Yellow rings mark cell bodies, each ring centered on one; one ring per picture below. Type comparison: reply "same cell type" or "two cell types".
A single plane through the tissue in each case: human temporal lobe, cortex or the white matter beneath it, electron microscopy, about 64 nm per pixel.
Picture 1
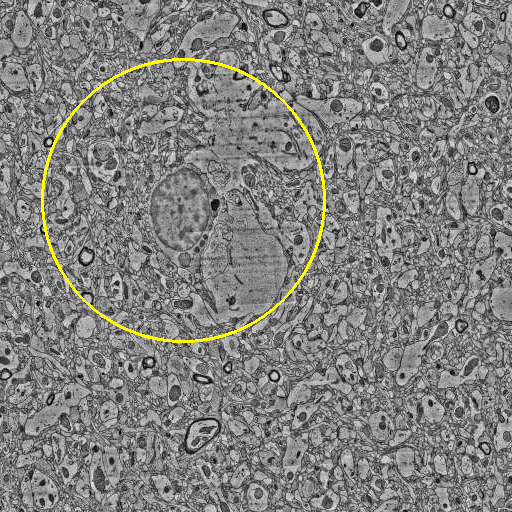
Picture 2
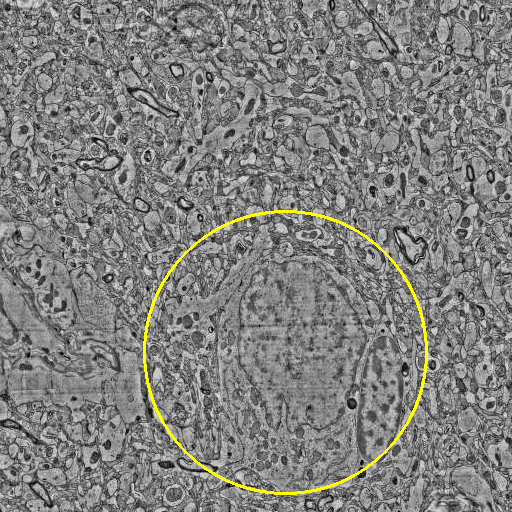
two cell types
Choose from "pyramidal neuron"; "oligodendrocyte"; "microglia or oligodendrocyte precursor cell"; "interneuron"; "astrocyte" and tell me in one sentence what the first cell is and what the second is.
What the first ring is centred on is an oligodendrocyte; what the second ring is centred on is an interneuron.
